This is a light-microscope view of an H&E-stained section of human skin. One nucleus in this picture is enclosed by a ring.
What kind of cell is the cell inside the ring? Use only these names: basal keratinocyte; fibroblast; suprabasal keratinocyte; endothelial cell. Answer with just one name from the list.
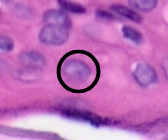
suprabasal keratinocyte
